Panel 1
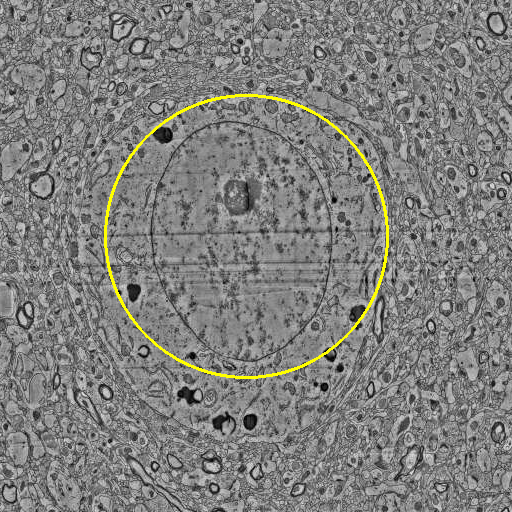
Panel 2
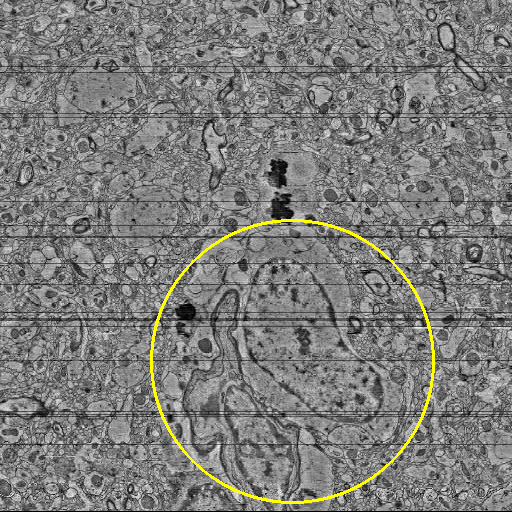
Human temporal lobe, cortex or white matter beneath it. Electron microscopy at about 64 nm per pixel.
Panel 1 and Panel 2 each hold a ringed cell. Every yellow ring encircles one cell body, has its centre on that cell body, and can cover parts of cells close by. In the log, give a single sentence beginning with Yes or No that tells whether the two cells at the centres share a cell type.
No, in Panel 1 and Panel 2 the centred cells are of two cell types.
